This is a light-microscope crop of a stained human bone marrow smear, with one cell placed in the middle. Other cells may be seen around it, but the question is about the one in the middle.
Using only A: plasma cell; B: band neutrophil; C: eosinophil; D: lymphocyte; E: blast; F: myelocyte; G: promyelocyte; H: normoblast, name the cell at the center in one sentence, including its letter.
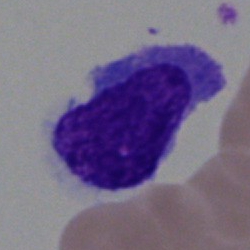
The middle cell of the crop is a blast; accordingly, option E is correct.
